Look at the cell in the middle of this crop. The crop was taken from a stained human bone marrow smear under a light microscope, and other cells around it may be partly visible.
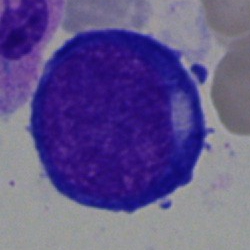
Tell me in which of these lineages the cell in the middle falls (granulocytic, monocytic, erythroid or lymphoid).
erythroid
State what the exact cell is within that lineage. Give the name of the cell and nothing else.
proerythroblast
